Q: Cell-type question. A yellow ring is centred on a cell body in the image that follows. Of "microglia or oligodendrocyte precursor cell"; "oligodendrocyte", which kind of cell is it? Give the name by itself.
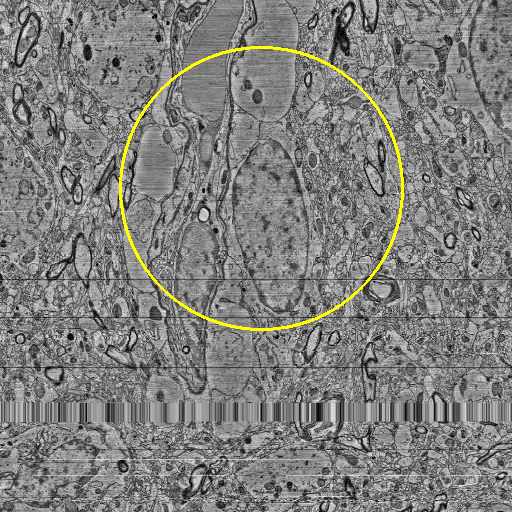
microglia or oligodendrocyte precursor cell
